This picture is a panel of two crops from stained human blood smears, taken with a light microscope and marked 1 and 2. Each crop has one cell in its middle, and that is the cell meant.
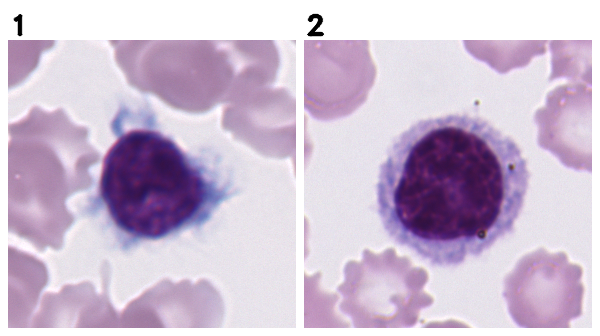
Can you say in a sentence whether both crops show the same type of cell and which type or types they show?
Yes, both crops are centred on hairy cells.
